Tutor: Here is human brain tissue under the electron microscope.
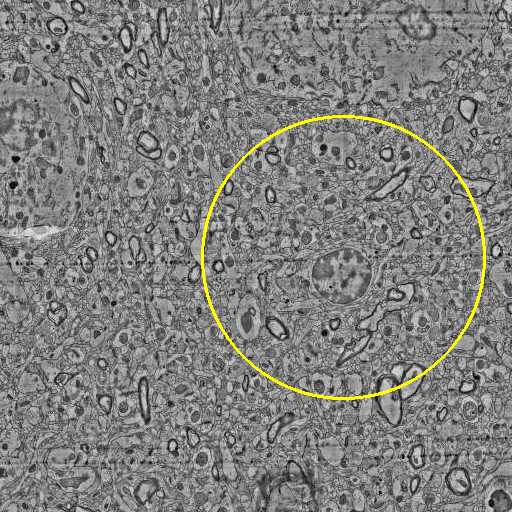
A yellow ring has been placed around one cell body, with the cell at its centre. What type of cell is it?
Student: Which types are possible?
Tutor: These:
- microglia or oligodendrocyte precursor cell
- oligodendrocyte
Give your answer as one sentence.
What the ring picks out here is a microglial cell or oligodendrocyte precursor cell.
